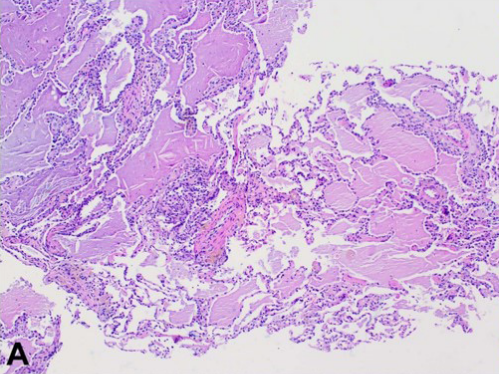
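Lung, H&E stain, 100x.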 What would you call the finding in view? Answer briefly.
Alveoli completely filled with amorphous eosinophilic material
